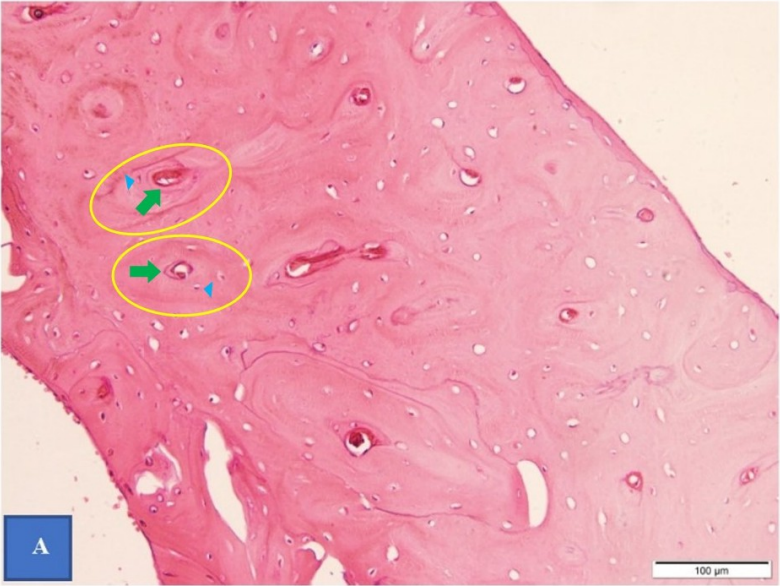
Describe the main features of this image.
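Mature bone tissue is shown as a dense, homogeneous eosin-pink matrix. Small canals are scattered through it, several surrounded by concentric layers of matrix in a lamellar arrangement. Osteocytes lie singly in small lacunae dispersed through the matrix, some close to the canals. Some canals contain a little pink-red material.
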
